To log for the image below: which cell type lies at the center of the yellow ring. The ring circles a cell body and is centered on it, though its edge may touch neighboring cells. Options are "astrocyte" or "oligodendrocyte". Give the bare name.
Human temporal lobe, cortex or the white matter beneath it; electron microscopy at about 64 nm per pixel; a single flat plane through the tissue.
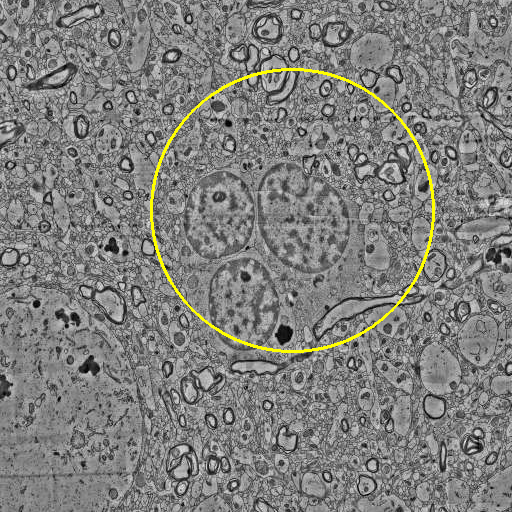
oligodendrocyte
